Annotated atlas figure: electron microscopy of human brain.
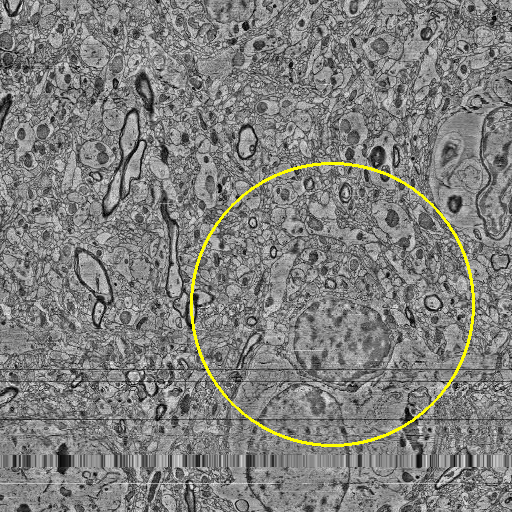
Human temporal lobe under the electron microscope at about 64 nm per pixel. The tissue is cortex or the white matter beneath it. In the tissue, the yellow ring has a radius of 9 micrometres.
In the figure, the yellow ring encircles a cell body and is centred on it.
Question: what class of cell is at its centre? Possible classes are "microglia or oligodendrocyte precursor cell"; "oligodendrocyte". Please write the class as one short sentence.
The yellow ring is drawn around an oligodendrocyte.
